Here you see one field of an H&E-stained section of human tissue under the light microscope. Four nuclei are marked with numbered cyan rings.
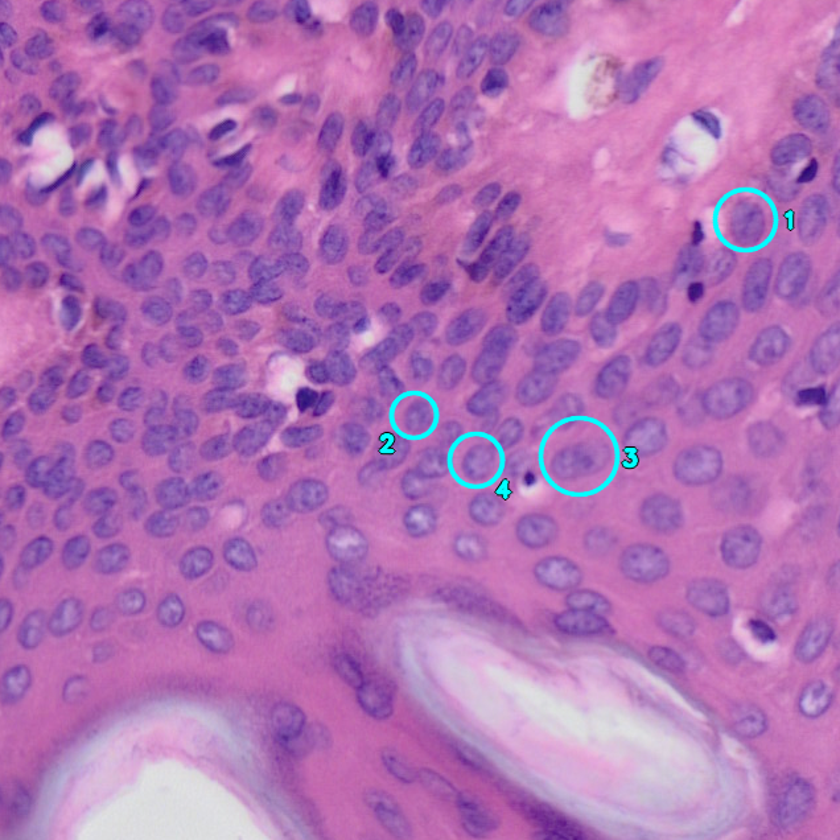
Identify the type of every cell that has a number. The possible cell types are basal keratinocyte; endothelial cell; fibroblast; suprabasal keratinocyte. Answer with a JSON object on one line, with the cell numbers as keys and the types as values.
{"1": "basal keratinocyte", "2": "suprabasal keratinocyte", "3": "suprabasal keratinocyte", "4": "suprabasal keratinocyte"}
